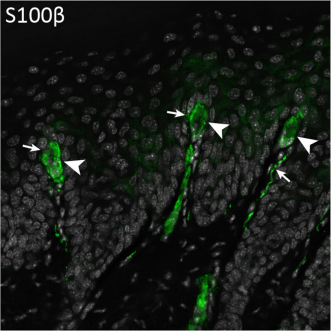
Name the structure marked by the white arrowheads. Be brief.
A: Meissner corpuscles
